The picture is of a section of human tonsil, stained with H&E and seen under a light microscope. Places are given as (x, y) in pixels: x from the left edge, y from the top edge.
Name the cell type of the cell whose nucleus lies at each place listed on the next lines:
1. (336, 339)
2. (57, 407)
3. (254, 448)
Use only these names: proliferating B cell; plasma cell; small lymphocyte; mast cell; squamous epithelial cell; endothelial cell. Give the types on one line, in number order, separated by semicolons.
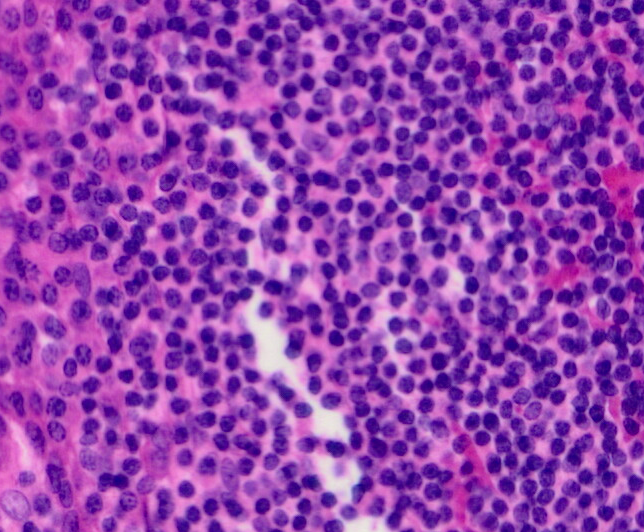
small lymphocyte; plasma cell; small lymphocyte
